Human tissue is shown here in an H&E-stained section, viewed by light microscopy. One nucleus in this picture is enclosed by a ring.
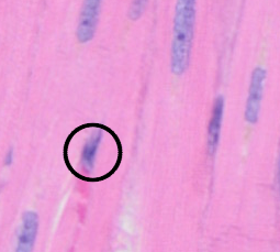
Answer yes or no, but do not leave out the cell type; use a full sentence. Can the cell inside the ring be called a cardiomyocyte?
No, it is an endothelial cell that the cell inside the ring is, rather than a cardiomyocyte.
